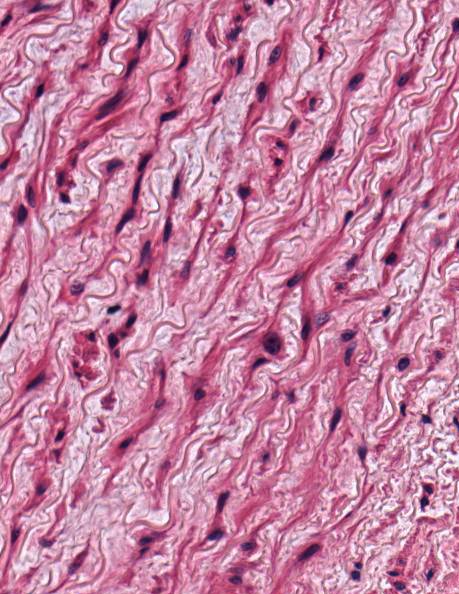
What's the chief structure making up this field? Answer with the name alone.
tunica media of an artery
